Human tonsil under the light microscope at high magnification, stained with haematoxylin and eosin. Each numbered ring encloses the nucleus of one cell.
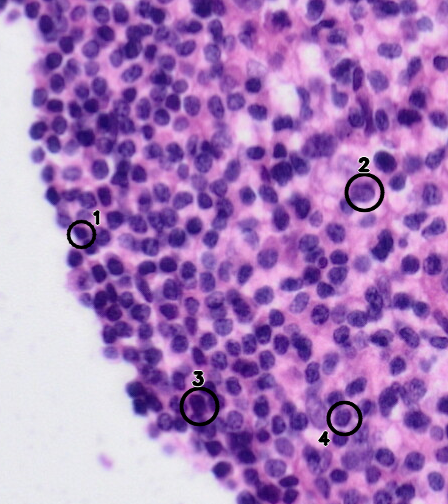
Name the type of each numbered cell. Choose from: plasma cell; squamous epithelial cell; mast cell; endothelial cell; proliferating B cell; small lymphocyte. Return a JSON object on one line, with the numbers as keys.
{"1": "small lymphocyte", "2": "proliferating B cell", "3": "small lymphocyte", "4": "small lymphocyte"}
